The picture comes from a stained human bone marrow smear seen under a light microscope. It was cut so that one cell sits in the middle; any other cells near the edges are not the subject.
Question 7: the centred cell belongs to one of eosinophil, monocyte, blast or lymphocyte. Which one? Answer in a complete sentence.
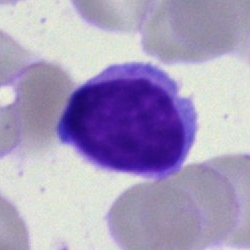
Within this crop, a lymphocyte occupies the central position.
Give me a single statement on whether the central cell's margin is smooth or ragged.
The outer contour of the cell is irregular, with ragged portions or projections along it.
